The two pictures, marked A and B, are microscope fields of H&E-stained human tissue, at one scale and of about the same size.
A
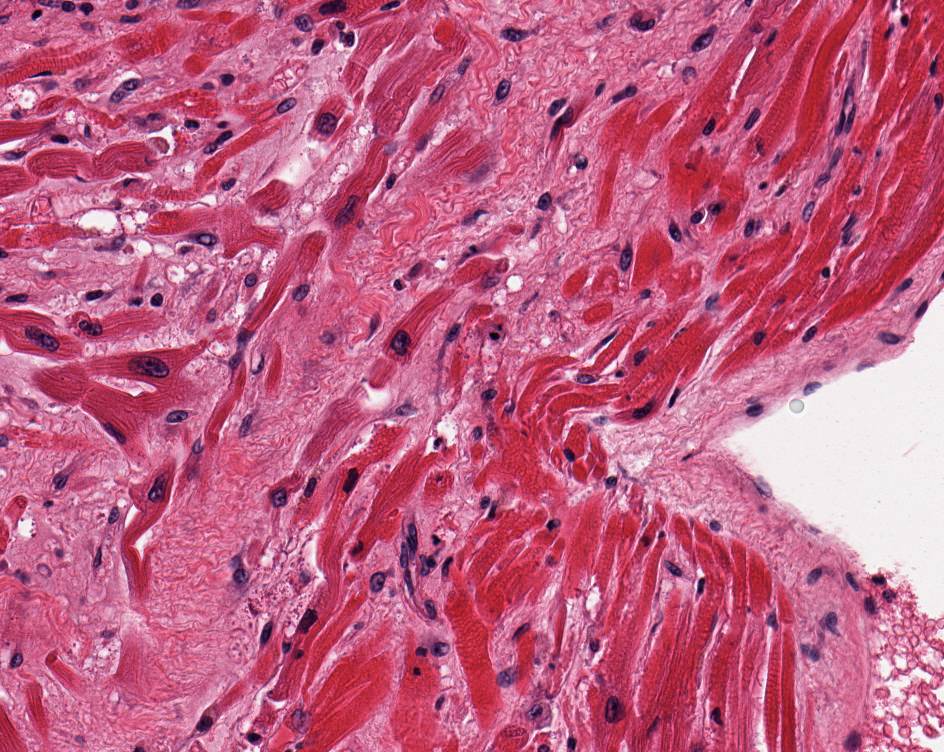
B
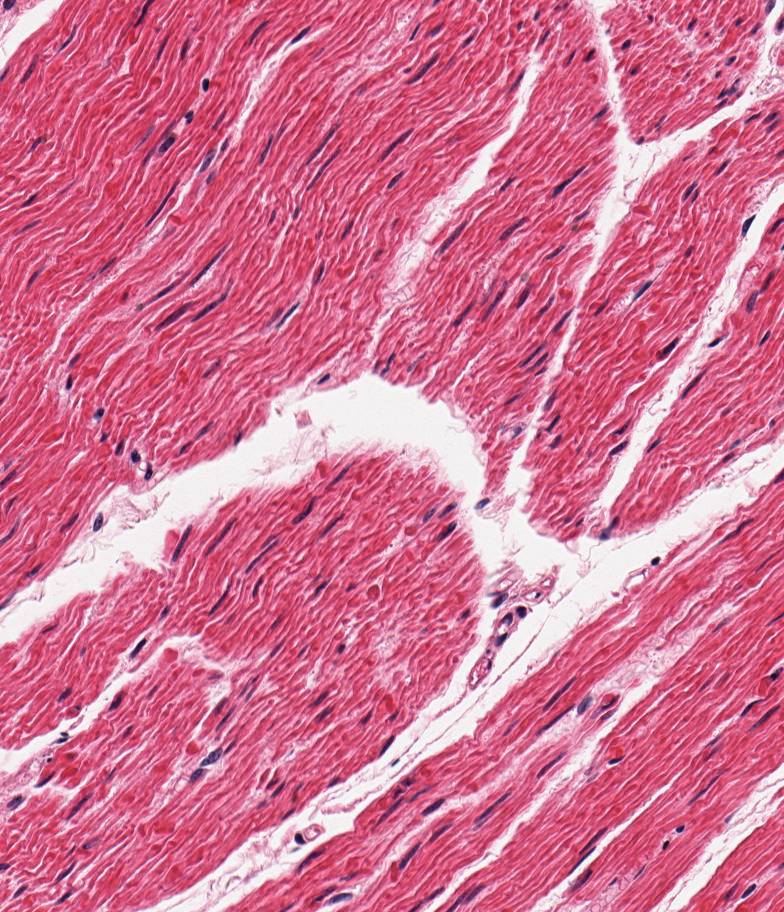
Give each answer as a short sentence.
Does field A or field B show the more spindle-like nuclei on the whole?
The nuclei are more elongated in field B.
